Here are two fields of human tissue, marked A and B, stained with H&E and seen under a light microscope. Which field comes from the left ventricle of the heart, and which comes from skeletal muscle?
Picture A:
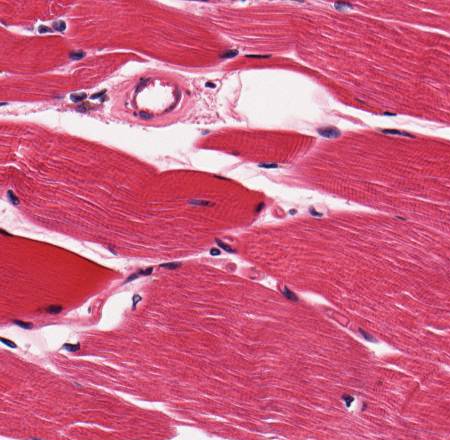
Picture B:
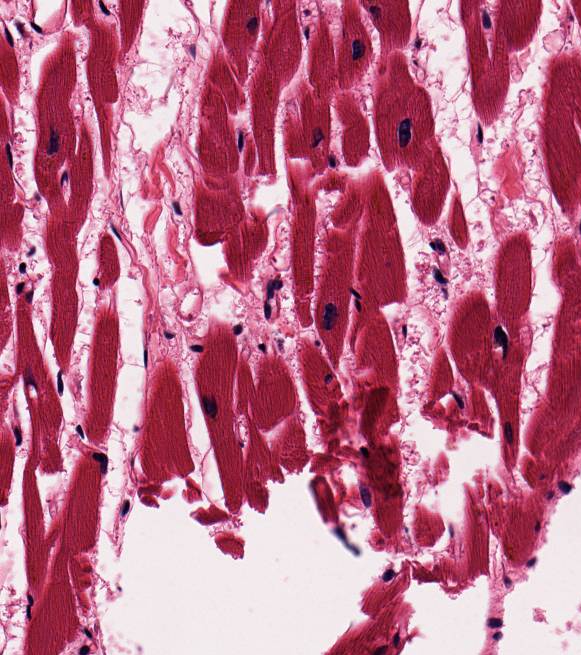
A: skeletal muscle
B: left ventricle of the heart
